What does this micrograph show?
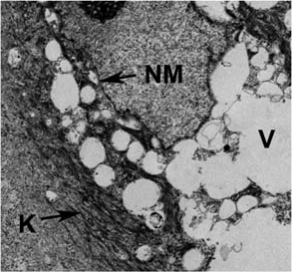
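Dense bundles of keratin filaments run obliquely through the cytoplasm at the lower left. Numerous clear, round vacuoles of widely varying size crowd the cytoplasm around the nucleus, some very large and merging toward the right edge.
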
